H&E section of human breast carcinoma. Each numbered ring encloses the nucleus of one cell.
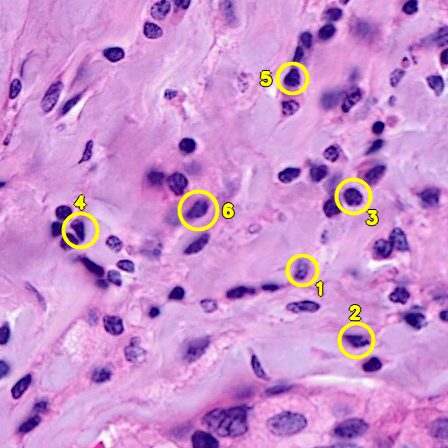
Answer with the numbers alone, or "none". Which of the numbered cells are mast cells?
1, 2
